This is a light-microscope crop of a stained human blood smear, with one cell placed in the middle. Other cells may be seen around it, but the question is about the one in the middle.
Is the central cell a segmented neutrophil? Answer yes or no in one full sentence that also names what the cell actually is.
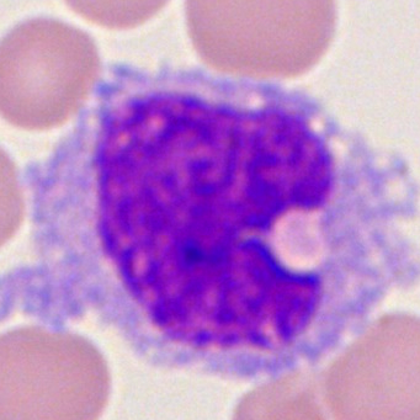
No, the central cell is identified not as a segmented neutrophil but as a monocyte.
